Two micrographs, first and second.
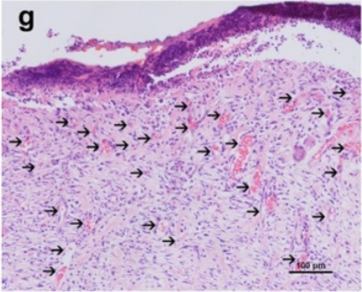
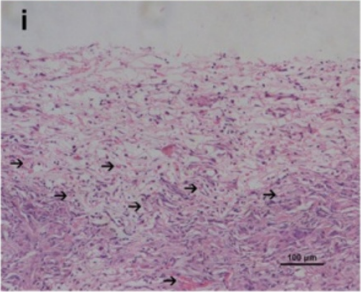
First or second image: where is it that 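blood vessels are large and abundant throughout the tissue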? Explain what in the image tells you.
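Second image: only a few small vessel profiles are seen in loosely textured tissue. First image: many vessel lumina with red contents are spread through the whole thickness. So: the first image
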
